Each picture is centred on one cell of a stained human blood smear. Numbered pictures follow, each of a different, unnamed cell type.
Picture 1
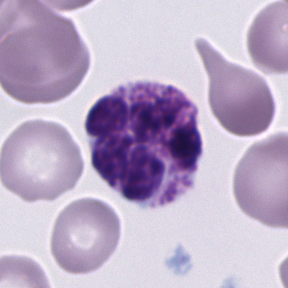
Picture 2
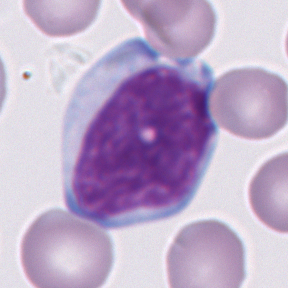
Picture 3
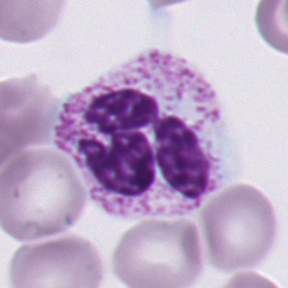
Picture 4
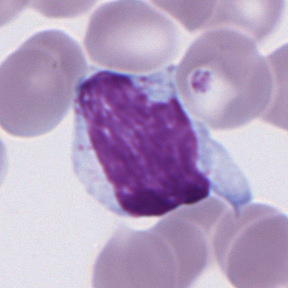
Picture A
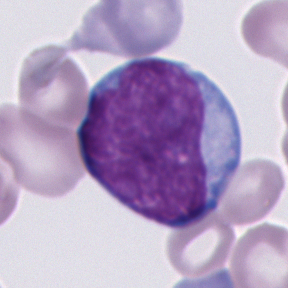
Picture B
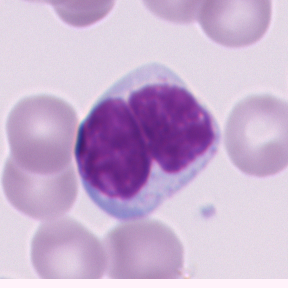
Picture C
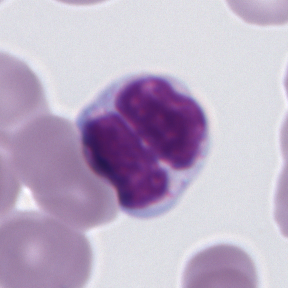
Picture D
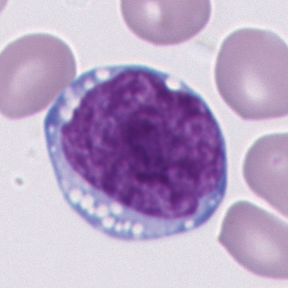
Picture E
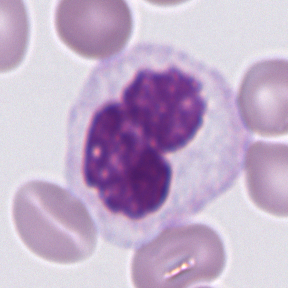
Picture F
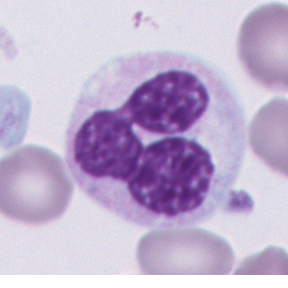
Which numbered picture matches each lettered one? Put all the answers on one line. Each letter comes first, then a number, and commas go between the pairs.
A 2, B 4, C 4, D 2, E 3, F 3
